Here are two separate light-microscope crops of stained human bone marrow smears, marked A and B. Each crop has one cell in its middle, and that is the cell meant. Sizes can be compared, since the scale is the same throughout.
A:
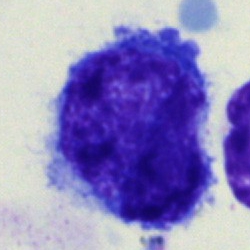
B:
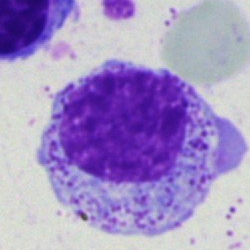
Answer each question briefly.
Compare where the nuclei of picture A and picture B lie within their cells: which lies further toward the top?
B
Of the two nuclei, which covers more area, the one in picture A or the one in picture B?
A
